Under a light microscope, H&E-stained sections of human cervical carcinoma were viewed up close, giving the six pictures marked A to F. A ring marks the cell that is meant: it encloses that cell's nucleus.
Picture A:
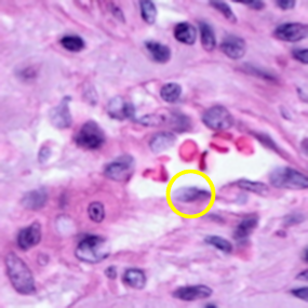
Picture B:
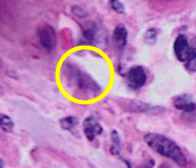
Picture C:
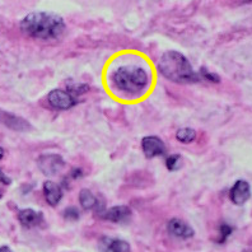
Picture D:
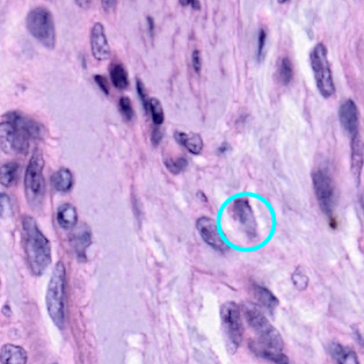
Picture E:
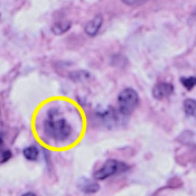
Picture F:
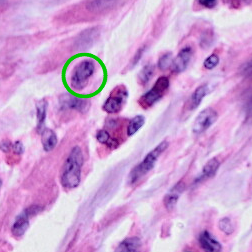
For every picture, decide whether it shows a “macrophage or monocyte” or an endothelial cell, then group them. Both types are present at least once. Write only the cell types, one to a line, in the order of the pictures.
endothelial cell
endothelial cell
macrophage or monocyte
macrophage or monocyte
macrophage or monocyte
macrophage or monocyte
